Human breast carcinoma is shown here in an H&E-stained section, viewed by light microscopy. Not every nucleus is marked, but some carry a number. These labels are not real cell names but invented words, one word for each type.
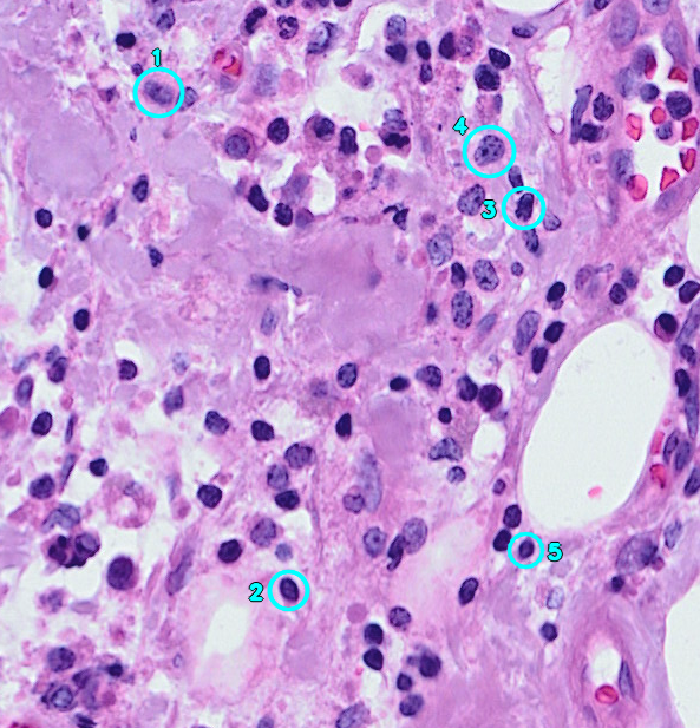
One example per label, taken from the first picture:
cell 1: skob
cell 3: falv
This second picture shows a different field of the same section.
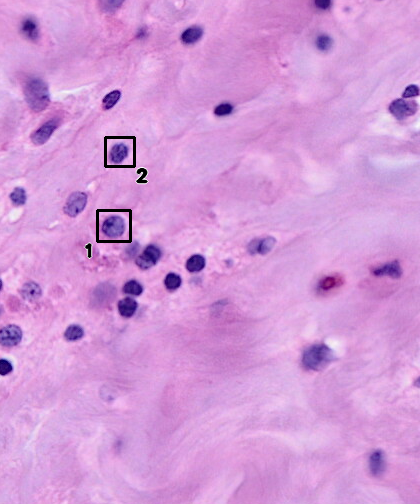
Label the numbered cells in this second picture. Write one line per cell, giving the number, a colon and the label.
1: skob
2: falv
